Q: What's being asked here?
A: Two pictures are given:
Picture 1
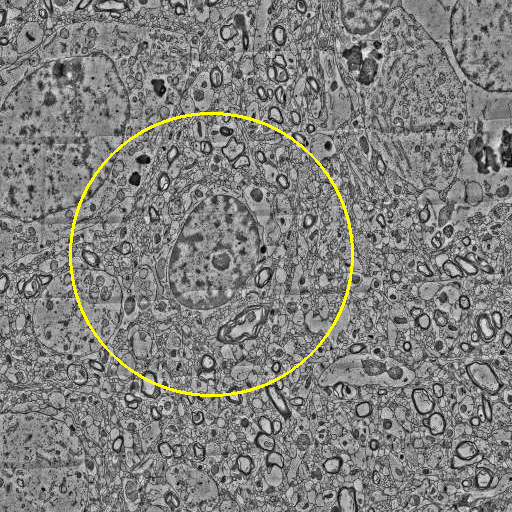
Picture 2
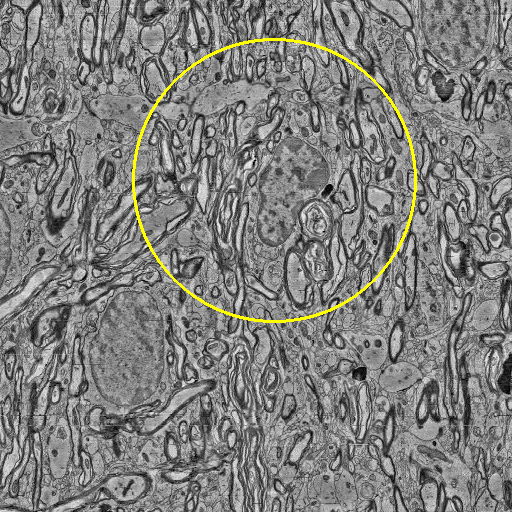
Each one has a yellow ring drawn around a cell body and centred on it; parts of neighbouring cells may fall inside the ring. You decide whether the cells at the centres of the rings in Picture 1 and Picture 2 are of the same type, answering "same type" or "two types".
same type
